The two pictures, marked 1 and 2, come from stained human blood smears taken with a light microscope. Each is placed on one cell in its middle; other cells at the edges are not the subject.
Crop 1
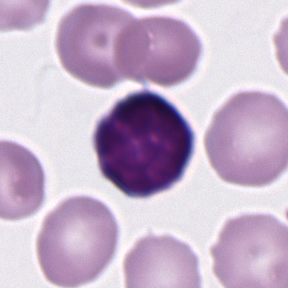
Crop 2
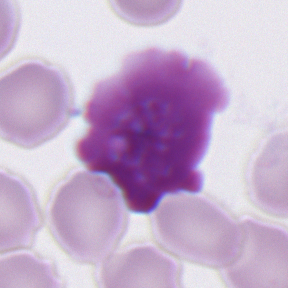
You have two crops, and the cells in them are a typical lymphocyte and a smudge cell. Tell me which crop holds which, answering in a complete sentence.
Whereas crop 1 contains a typical lymphocyte, crop 2 contains a smudge cell.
